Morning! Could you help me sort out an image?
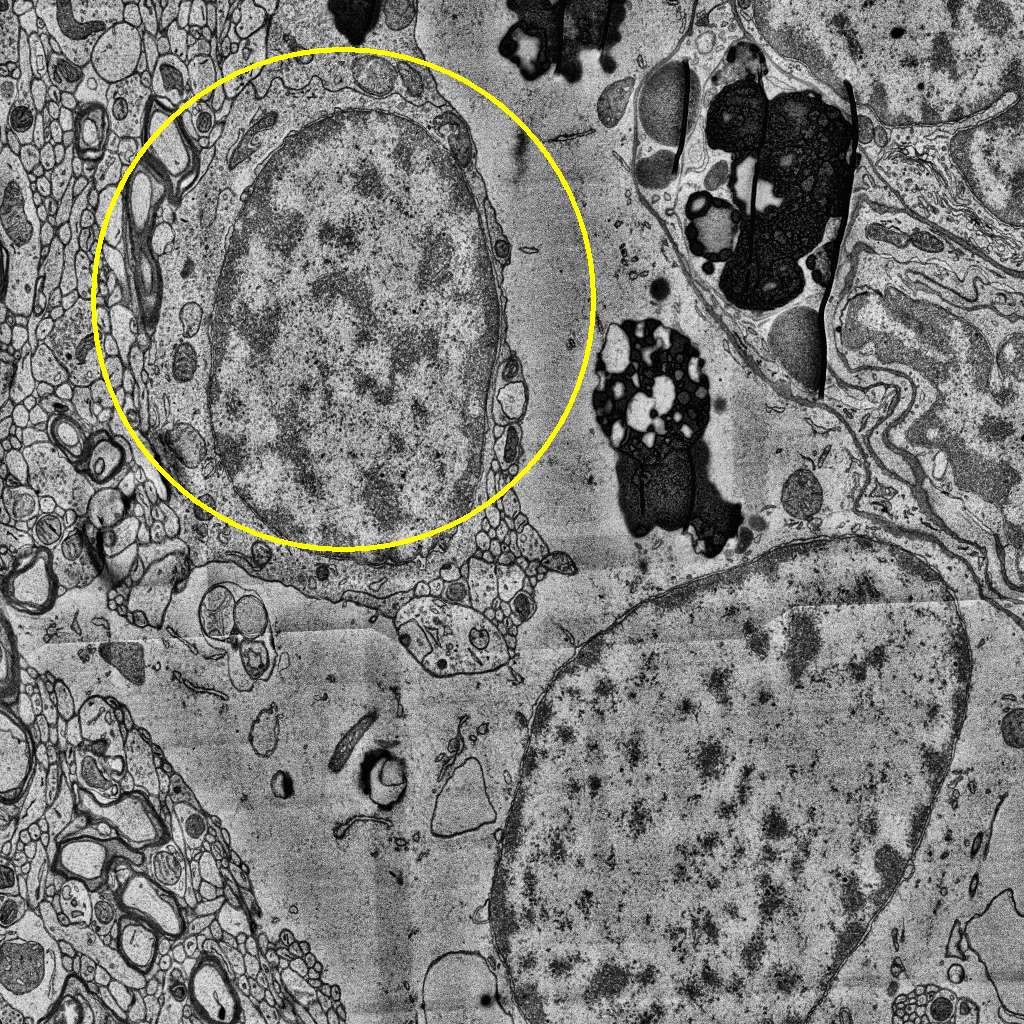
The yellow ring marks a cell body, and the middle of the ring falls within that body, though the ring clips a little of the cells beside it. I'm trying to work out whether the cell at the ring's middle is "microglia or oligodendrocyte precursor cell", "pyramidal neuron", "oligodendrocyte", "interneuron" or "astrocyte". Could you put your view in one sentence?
The cell body at the ring's middle is that of an oligodendrocyte.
